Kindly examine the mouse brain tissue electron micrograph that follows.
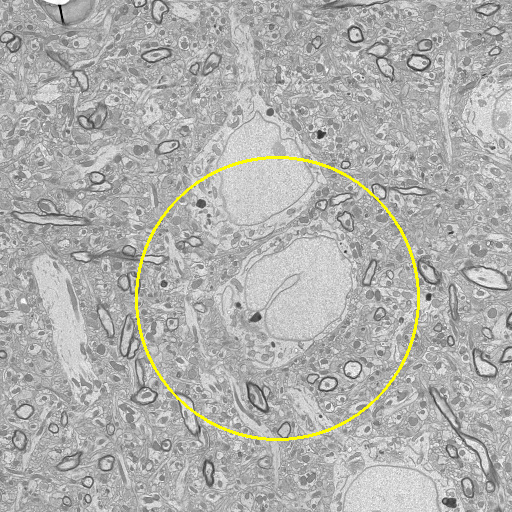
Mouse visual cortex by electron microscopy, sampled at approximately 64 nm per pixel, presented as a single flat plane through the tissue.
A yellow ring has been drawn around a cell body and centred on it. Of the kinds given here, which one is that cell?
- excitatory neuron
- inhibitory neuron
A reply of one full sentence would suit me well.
The micrograph's ringed cell, the one at the ring's centre, is an inhibitory neuron.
